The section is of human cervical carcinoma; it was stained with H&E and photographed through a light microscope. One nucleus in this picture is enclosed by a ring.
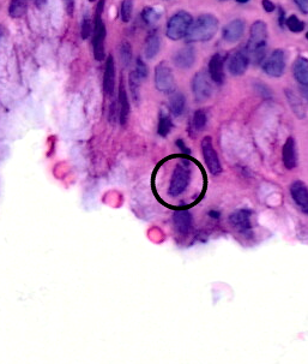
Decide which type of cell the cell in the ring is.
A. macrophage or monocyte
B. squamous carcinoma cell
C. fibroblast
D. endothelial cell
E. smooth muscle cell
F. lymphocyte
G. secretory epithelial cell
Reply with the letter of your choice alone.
G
